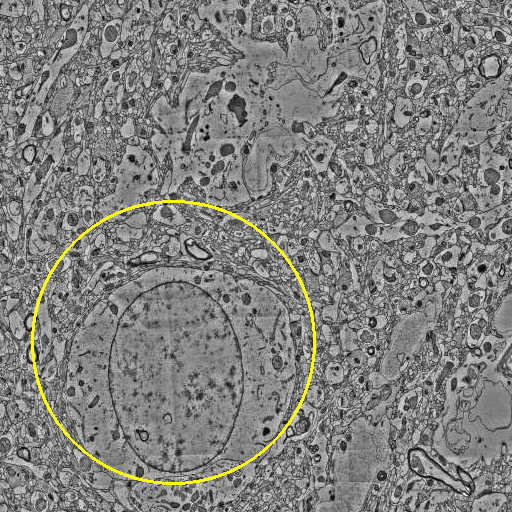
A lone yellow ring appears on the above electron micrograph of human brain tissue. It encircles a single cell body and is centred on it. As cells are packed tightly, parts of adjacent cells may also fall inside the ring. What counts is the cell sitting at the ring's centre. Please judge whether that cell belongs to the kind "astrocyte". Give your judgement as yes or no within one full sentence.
No, the cell lying at the centre of the ring in the picture belongs to another kind.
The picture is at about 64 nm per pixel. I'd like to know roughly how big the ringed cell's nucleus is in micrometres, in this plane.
The nucleus comes to roughly 12 by 9 micrometres in this plane.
